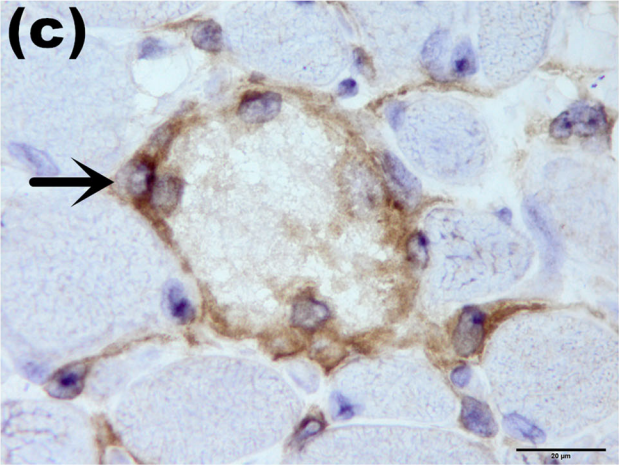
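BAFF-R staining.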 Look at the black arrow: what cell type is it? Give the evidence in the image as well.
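Inflammatory cells. The marked cell is small with an oval nucleus and a brown-stained surround. Several such cells ring the edge of the central fiber.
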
